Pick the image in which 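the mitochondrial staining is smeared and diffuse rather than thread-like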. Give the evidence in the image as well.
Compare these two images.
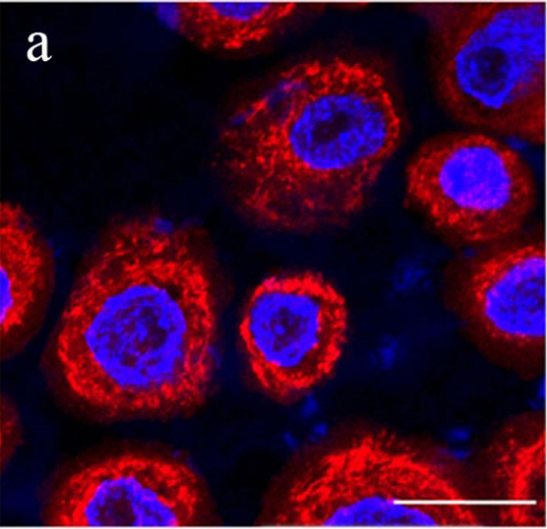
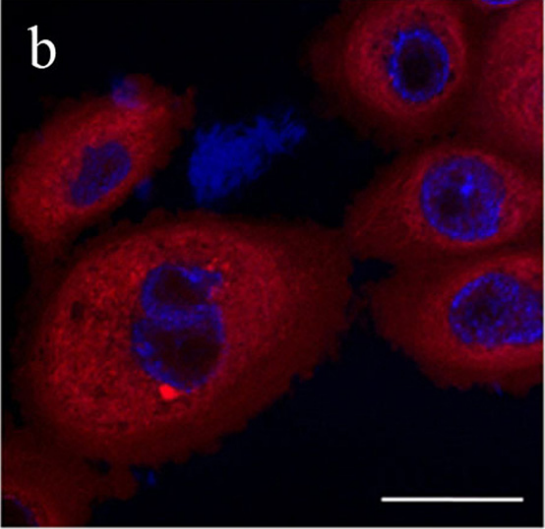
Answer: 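Second image: red staining fills the cytoplasm evenly and hazily without distinct threads. First image: red staining forms distinct threads and granules clustered around the nuclei.
Hence: the second image.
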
